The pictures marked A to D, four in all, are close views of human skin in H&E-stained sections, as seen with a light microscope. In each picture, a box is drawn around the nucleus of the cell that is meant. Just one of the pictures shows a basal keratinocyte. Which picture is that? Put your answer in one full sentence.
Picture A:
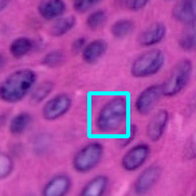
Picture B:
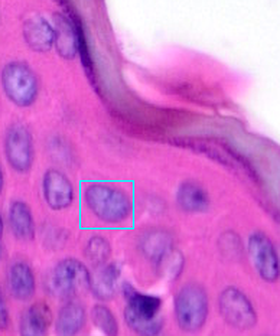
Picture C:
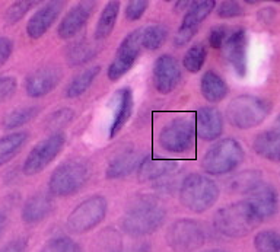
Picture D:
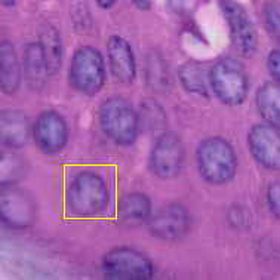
The cell in picture C is the basal keratinocyte.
